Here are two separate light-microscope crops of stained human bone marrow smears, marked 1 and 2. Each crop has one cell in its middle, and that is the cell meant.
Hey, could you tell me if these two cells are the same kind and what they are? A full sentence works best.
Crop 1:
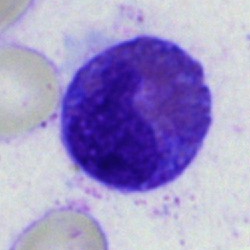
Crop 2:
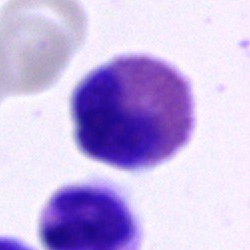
Yes, at the centre of both crops are eosinophils.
